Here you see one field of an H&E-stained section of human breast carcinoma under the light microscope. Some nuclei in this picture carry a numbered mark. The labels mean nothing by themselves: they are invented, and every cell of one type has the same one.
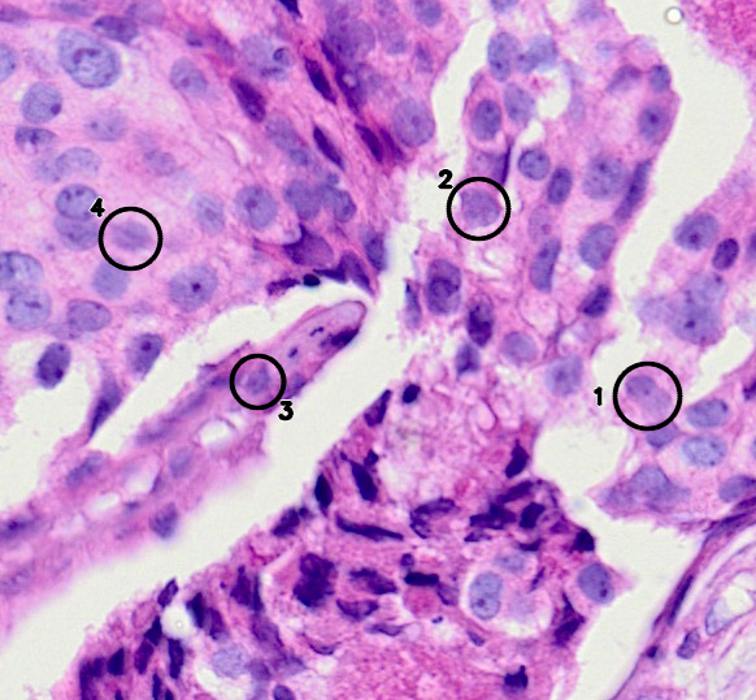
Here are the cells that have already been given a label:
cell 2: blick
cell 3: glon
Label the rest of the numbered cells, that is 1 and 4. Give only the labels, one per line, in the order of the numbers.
blick
blick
